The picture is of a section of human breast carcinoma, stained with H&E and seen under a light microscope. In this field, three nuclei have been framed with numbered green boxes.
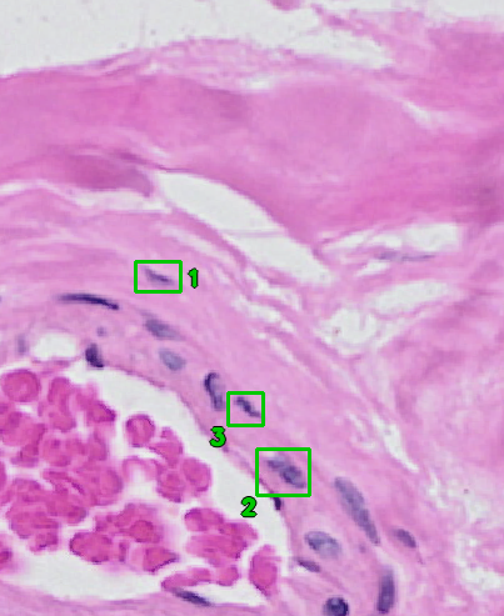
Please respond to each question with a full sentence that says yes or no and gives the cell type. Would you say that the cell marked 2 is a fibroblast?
No; cell 2 is an endothelial cell, not a fibroblast.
